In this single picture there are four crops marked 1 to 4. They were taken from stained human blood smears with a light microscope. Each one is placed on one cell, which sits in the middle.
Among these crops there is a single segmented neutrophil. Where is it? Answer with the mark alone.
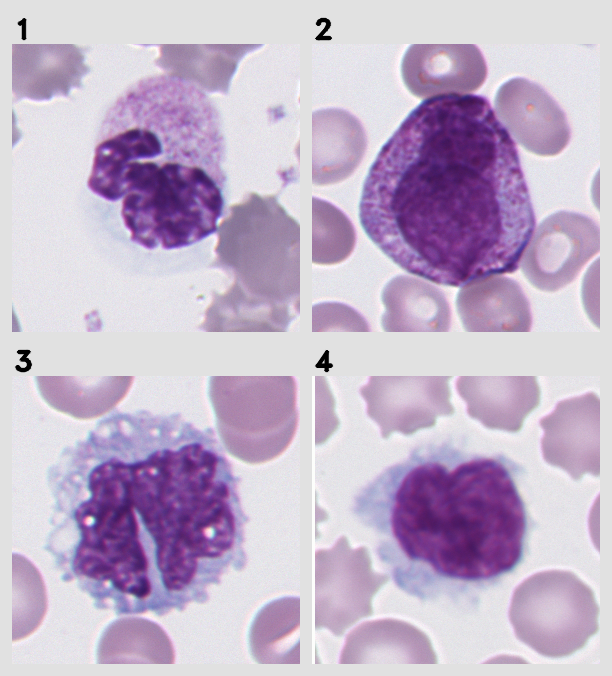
1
